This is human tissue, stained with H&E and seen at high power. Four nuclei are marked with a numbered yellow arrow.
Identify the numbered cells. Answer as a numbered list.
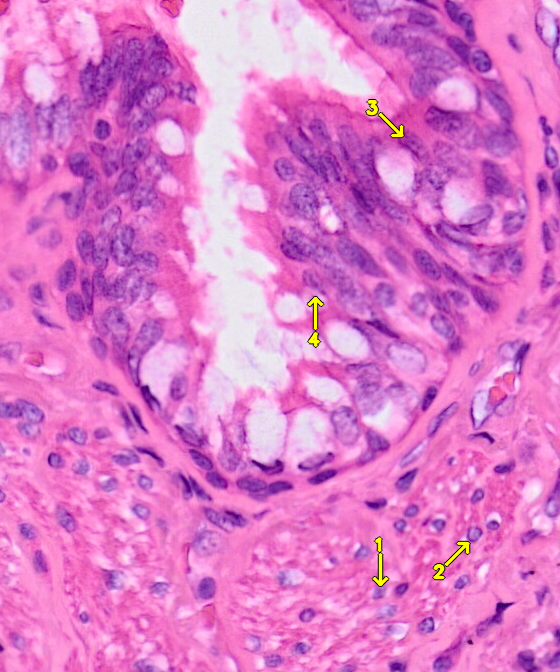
1. smooth muscle cell or pericyte
2. smooth muscle cell or pericyte
3. ciliated epithelial cell
4. ciliated epithelial cell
